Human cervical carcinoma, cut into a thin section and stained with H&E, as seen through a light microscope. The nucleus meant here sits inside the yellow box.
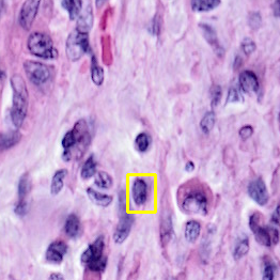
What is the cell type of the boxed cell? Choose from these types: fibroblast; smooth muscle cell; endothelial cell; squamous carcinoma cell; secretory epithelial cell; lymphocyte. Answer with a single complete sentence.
This is a lymphocyte.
